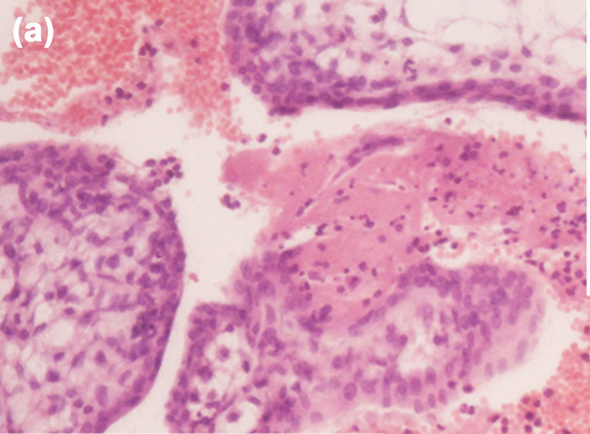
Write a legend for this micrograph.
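Placental tissue with rounded structures whose loose, pale, vacuolated stroma is bounded by a layer of cells with purple nuclei. Between and around these structures lie abundant red blood cells staining bright red. Strands of pink fibrillar material with scattered nuclei lie among the rounded structures.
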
